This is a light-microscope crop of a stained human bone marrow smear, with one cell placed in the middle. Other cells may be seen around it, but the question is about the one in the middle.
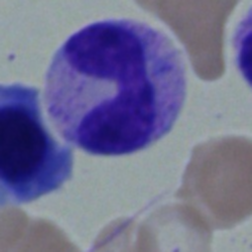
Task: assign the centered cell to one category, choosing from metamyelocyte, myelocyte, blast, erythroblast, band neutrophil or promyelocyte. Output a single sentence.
Regarding the central cell, it is a band neutrophil.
